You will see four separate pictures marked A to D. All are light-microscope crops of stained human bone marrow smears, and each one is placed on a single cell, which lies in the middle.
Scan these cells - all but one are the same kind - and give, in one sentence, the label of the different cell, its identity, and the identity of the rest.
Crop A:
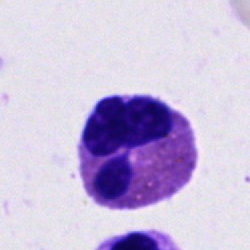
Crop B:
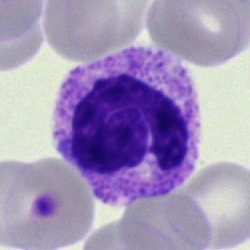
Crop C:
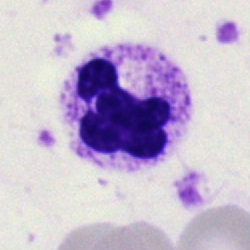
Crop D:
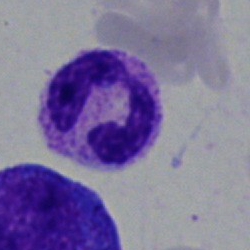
The cells centred in the other crops are all neutrophils, but crop A is an eosinophil.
